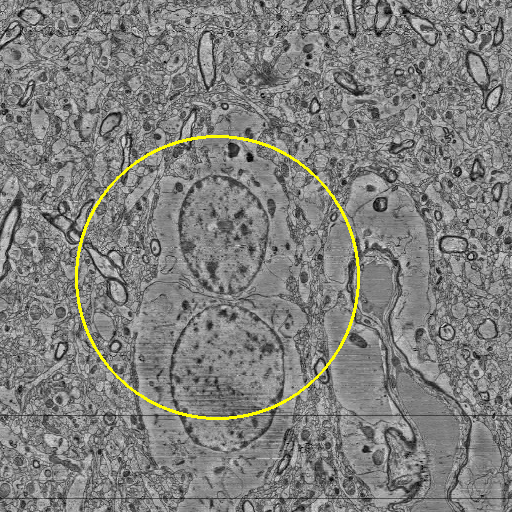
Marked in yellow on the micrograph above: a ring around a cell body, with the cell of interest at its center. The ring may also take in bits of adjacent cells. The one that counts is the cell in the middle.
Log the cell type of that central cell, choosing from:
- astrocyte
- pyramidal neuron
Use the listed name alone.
astrocyte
